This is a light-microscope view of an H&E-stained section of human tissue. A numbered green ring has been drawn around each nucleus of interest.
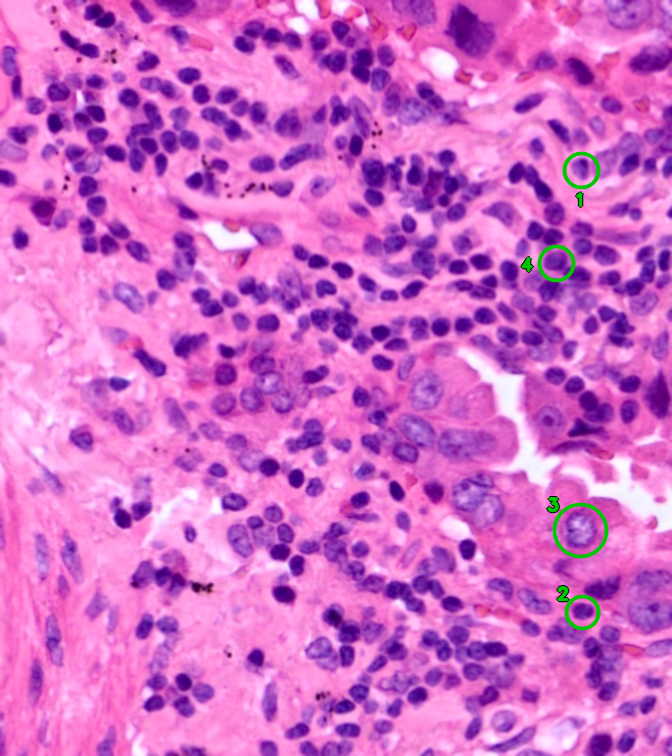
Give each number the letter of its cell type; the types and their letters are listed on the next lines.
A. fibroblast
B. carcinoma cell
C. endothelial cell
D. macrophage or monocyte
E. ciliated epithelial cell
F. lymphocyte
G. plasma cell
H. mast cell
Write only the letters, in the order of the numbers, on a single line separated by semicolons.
F; F; B; F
